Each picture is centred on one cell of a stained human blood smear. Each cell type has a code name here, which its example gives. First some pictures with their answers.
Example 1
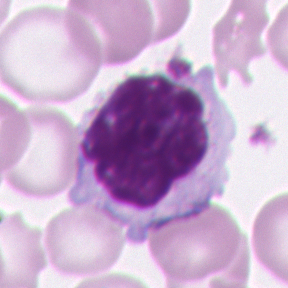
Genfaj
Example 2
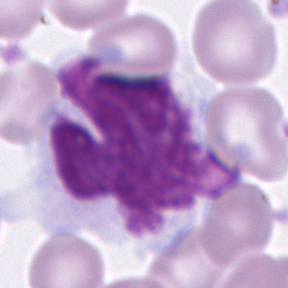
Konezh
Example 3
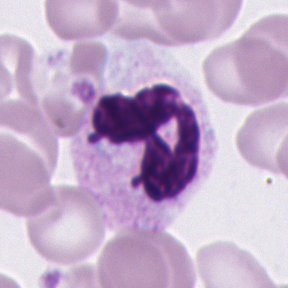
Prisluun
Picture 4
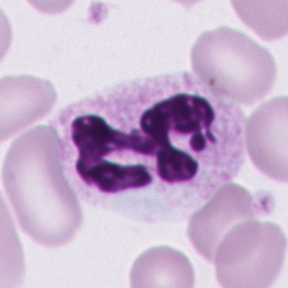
Prisluun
